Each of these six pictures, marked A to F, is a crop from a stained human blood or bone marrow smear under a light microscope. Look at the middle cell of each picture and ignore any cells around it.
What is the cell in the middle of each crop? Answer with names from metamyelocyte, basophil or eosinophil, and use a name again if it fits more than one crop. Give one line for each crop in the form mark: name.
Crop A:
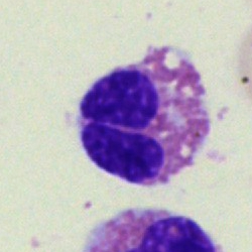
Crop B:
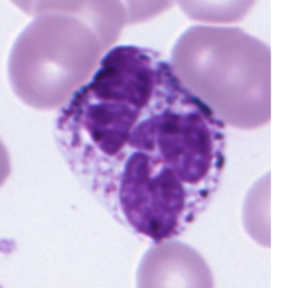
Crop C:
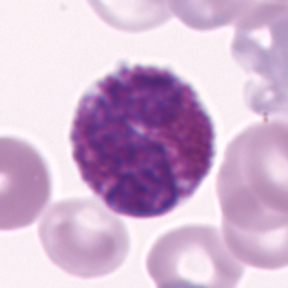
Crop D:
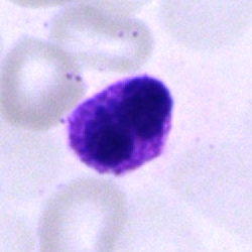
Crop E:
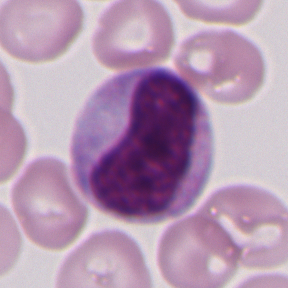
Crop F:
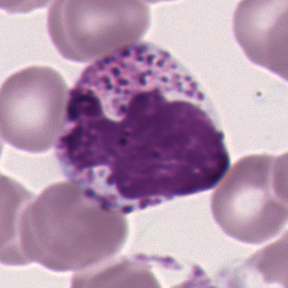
A: basophil
B: basophil
C: eosinophil
D: basophil
E: metamyelocyte
F: basophil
